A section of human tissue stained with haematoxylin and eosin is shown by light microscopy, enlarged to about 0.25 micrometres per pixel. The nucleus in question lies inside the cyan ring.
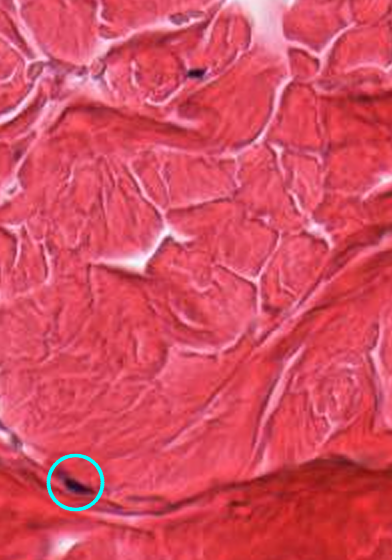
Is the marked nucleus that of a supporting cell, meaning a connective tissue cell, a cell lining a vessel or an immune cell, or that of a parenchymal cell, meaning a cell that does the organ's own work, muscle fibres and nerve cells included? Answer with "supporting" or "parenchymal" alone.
supporting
